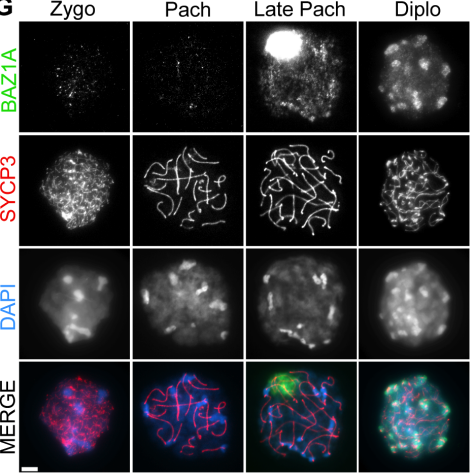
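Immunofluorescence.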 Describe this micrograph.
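Four spread spermatocyte nuclei are shown, each in separate green, red and blue channels and a merge. The red signal traces thin threads of the axial elements, tangled and short in the earliest nucleus and long, paired-looking and distinct in the later ones. Green signal is faint and speckled early, then forms a large bright mass at one edge of the later nucleus and patchy foci matching blue-dense chromatin in the last. The blue channel shows bright blocks of dense chromatin scattered in each nucleus.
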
